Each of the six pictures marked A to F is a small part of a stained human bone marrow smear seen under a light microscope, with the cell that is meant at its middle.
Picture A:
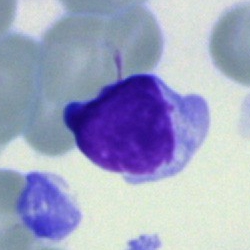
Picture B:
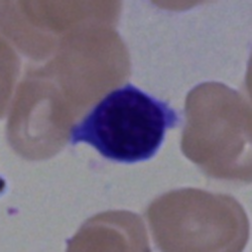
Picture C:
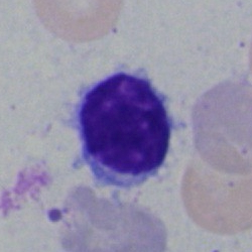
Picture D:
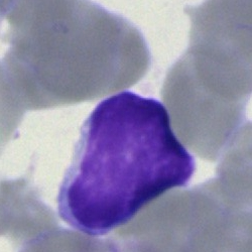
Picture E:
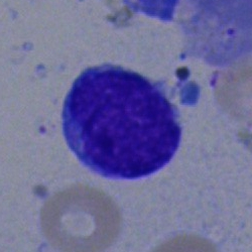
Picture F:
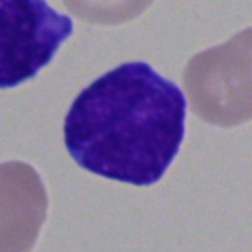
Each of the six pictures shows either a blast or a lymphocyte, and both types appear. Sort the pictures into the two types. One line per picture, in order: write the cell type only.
lymphocyte
lymphocyte
lymphocyte
lymphocyte
blast
blast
